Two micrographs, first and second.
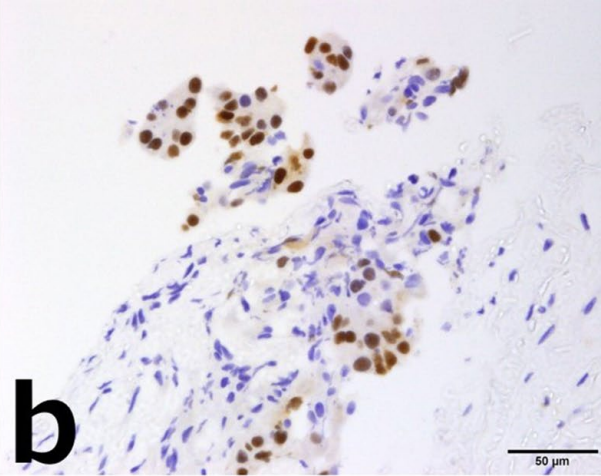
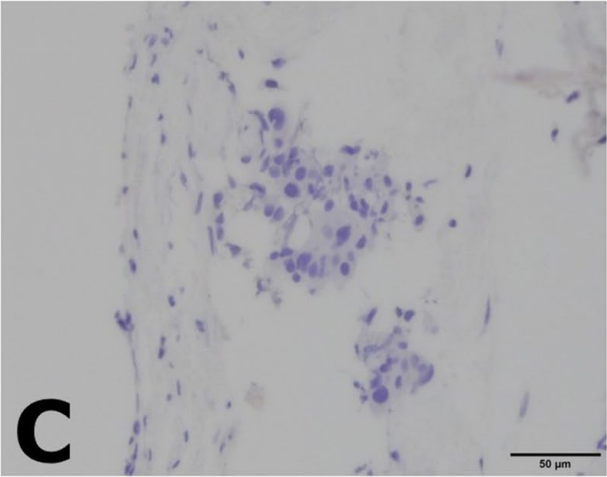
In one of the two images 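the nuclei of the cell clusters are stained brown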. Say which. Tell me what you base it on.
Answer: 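Second image: the cell clusters show only blue nuclei with no brown stain. First image: the nuclei of the clustered cells are dark brown while stromal nuclei stay blue. On this evidence: the first image.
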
